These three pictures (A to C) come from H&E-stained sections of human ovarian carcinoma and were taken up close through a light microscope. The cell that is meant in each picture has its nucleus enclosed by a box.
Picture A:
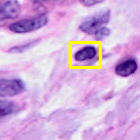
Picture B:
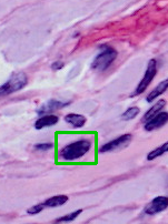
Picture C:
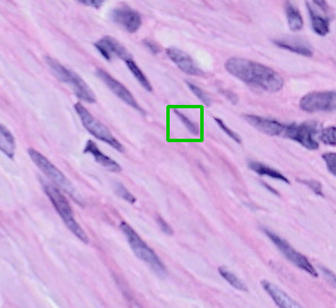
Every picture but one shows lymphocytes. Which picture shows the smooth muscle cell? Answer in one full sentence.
The cell in picture C is the smooth muscle cell.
